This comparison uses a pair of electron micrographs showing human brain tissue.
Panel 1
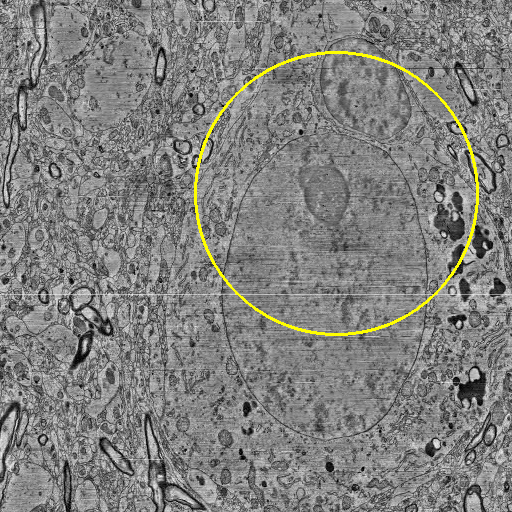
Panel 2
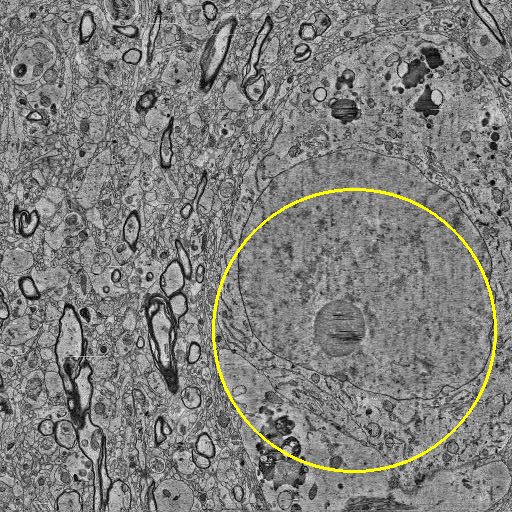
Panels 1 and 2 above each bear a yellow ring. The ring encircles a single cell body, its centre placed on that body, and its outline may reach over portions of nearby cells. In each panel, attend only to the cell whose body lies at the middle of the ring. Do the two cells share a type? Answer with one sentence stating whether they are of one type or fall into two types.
In Panel 1 and Panel 2, the cells at the centres of the rings are of one type.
